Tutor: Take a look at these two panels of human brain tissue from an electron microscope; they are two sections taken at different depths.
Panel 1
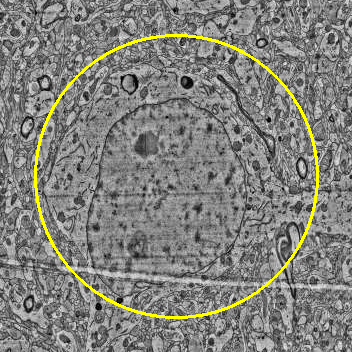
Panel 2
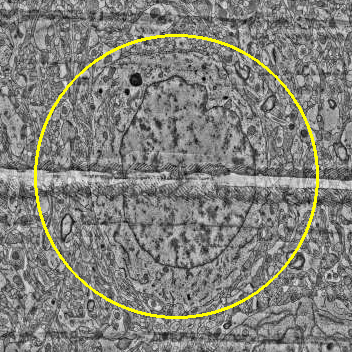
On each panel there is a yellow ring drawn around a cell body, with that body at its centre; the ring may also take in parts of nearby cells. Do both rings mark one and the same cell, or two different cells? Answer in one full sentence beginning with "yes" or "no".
No, these are two different cells, each marked with a ring.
